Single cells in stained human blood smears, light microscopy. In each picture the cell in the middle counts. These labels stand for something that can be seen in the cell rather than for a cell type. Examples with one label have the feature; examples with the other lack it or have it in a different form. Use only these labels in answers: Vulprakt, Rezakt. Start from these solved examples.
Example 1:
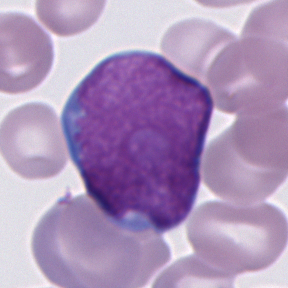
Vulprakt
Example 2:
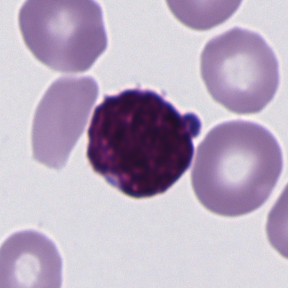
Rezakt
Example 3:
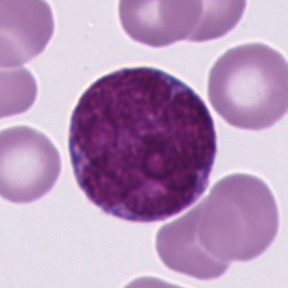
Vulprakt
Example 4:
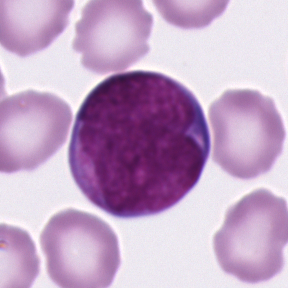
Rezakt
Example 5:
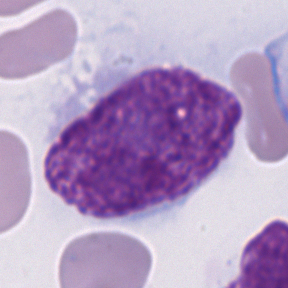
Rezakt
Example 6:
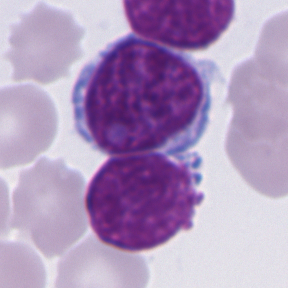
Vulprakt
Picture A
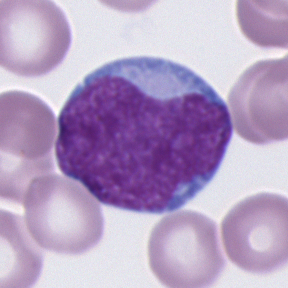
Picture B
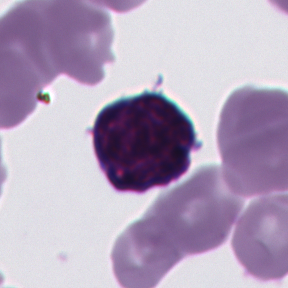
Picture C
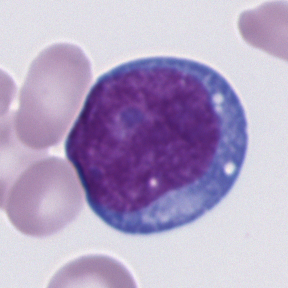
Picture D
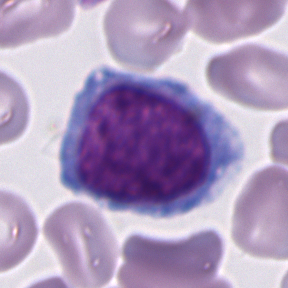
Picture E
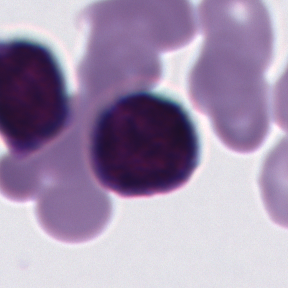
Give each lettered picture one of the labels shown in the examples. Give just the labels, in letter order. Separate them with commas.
Rezakt, Rezakt, Vulprakt, Rezakt, Rezakt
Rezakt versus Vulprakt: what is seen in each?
Seen in Rezakt: no visible nucleolus; seen in Vulprakt: nucleolus visible.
